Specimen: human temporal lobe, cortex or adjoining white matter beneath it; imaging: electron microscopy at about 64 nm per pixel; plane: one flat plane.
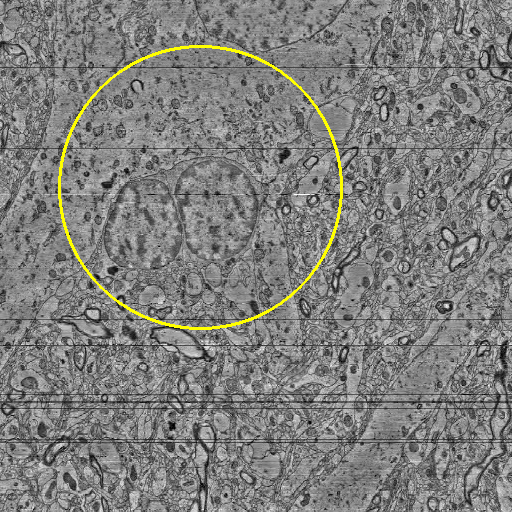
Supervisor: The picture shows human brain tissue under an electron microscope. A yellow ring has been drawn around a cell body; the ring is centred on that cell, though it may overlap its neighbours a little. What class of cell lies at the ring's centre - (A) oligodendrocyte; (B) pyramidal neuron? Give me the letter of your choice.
A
